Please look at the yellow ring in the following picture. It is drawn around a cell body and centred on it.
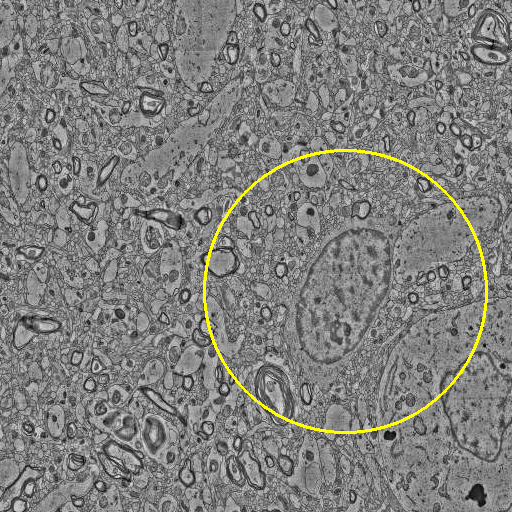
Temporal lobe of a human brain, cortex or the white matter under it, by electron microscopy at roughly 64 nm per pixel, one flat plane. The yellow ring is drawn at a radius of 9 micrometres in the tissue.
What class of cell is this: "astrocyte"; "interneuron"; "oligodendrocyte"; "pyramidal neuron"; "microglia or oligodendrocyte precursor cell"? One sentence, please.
The ring surrounds the cell body of an oligodendrocyte.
